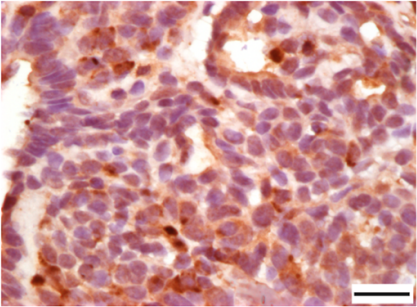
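Densely packed tumor cells with oval to round blue-purple nuclei form solid sheets with a few small clefts and lumens, and a light-to-moderate brown stain lies in the cytoplasm between the nuclei. Scattered cells stain a darker brown. This is crowded cancer tissue with cytoplasmic staining spread through most of the cells.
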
